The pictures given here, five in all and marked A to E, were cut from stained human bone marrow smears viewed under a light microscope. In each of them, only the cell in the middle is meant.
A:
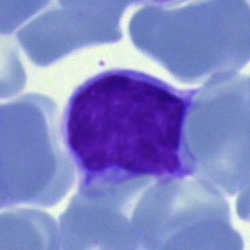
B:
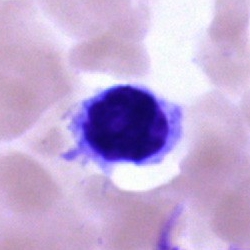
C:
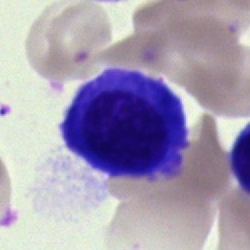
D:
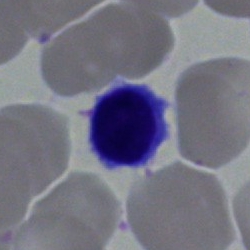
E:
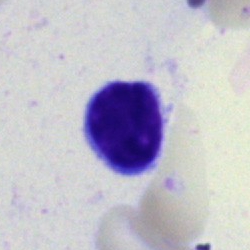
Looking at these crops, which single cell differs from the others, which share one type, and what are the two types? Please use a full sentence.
With the other crops all showing lymphocytes, crop C differs by showing a plasma cell.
